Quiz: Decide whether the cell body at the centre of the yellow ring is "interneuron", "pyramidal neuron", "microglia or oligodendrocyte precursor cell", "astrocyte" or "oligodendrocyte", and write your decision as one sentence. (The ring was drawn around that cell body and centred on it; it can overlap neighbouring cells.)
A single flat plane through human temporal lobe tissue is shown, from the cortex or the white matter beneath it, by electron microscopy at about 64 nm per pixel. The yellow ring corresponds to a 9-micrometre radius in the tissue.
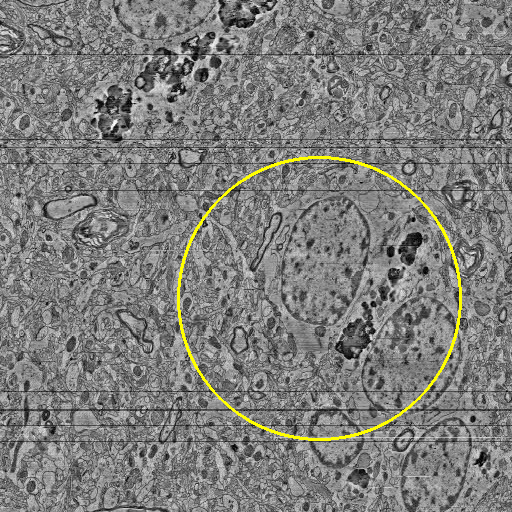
The cell the ring is centred on is an astrocyte.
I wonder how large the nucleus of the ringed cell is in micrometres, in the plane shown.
In this plane the nucleus is clearly longer than it is wide, at approximately 8 by 6 micrometres.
